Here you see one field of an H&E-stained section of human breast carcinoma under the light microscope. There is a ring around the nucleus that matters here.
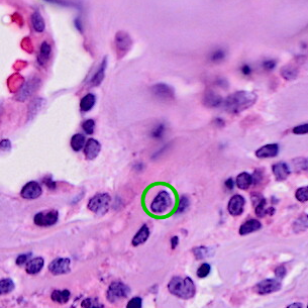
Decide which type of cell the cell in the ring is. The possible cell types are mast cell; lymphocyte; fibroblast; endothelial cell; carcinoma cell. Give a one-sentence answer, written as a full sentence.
Labelled by cell type, the cell in the ring is a lymphocyte.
